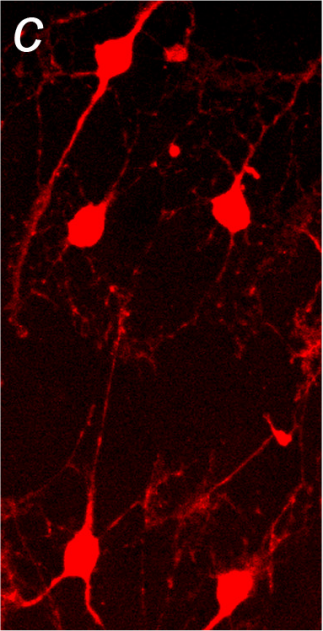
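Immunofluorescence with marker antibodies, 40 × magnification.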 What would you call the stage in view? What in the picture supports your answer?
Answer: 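Neuron-like morphology. Cell bodies are compact and rounded to pyramidal. Processes form a network across the field.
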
